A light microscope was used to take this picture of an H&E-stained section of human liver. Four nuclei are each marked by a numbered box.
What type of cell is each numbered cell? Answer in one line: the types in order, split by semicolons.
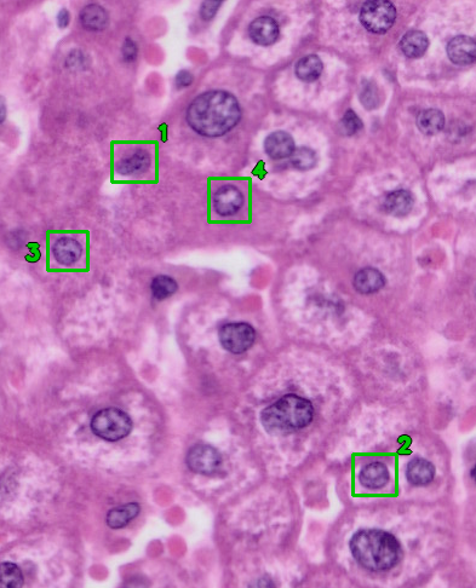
endothelial cell; hepatocyte; hepatocyte; hepatocyte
